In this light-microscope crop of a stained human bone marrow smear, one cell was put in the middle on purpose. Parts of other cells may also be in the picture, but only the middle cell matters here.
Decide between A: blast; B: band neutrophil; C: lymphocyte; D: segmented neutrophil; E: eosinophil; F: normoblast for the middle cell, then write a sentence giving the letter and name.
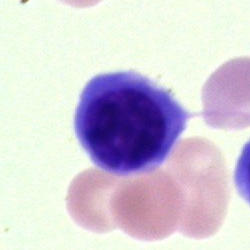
The cell occupying the centre is a normoblast; option F is thus the correct choice.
